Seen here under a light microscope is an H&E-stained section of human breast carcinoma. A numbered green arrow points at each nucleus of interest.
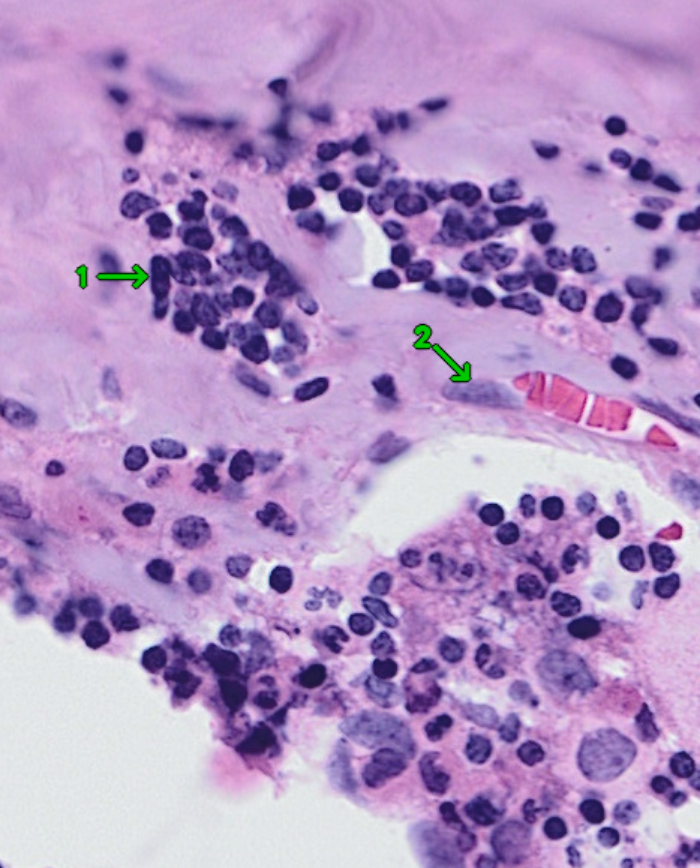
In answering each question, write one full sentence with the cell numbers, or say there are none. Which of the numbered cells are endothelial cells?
Among all the marked cells, an endothelial cell is found only at number 2.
